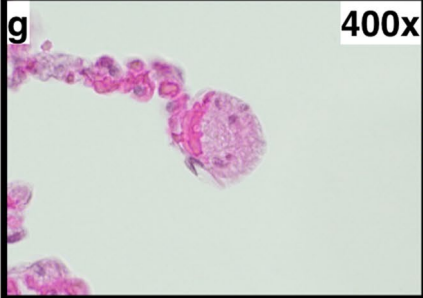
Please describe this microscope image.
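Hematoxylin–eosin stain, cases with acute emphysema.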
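A thin alveolar septum ends free in the airspace with a rounded, club-shaped knob. The septum is lined by bright pink erythrocytes in capillaries and scattered dark nuclei, while the knob contains pale pink, loosely meshed material with a denser pink rim.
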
